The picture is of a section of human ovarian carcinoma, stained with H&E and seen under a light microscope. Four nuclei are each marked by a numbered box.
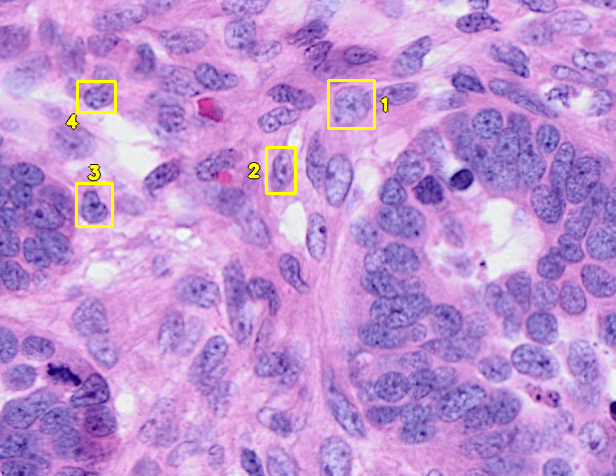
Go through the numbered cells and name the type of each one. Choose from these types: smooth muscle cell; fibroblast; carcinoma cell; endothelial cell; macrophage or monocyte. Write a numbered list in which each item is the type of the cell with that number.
1. fibroblast
2. fibroblast
3. macrophage or monocyte
4. macrophage or monocyte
